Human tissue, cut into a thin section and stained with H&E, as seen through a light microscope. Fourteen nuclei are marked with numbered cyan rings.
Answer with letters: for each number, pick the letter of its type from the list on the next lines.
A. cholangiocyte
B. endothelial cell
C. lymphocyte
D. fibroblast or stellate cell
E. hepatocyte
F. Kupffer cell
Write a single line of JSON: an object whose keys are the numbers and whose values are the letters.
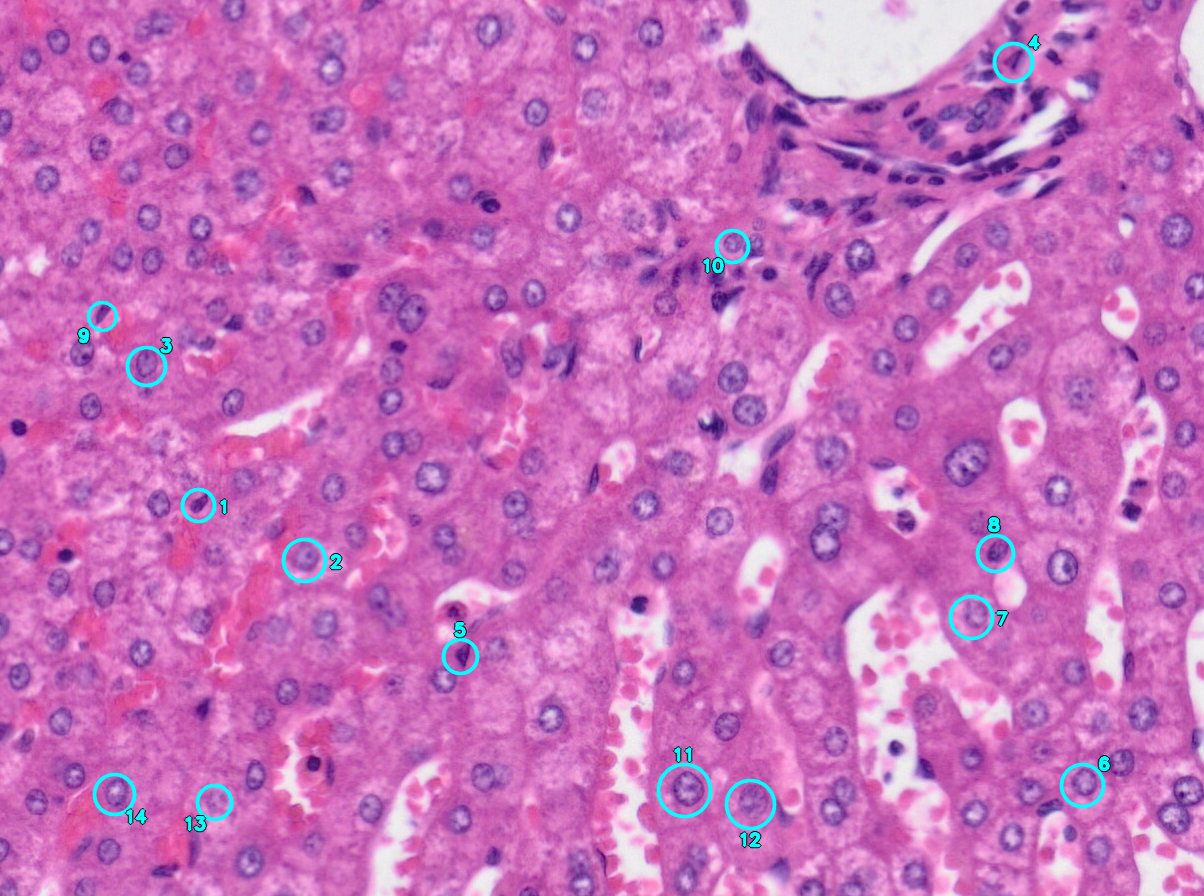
{"1": "C", "2": "E", "3": "E", "4": "D", "5": "D", "6": "E", "7": "E", "8": "D", "9": "D", "10": "A", "11": "E", "12": "E", "13": "E", "14": "E"}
